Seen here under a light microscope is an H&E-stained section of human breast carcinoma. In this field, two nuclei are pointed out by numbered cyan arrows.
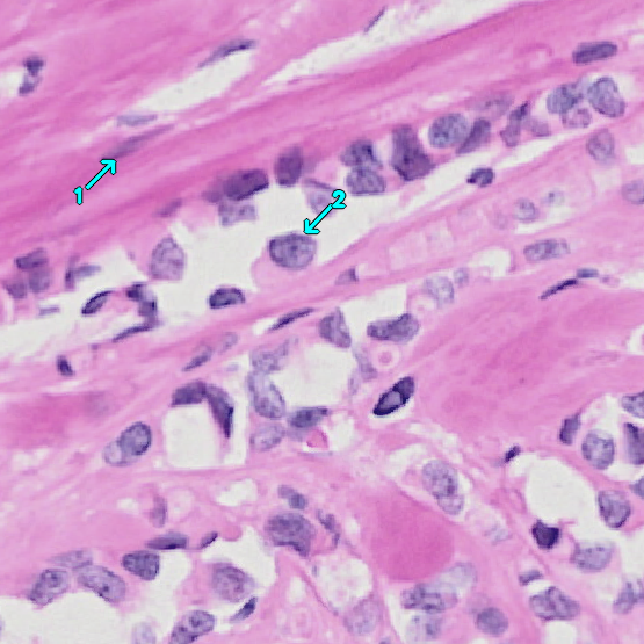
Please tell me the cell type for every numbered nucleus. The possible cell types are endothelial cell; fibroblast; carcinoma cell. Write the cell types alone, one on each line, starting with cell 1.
fibroblast
carcinoma cell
